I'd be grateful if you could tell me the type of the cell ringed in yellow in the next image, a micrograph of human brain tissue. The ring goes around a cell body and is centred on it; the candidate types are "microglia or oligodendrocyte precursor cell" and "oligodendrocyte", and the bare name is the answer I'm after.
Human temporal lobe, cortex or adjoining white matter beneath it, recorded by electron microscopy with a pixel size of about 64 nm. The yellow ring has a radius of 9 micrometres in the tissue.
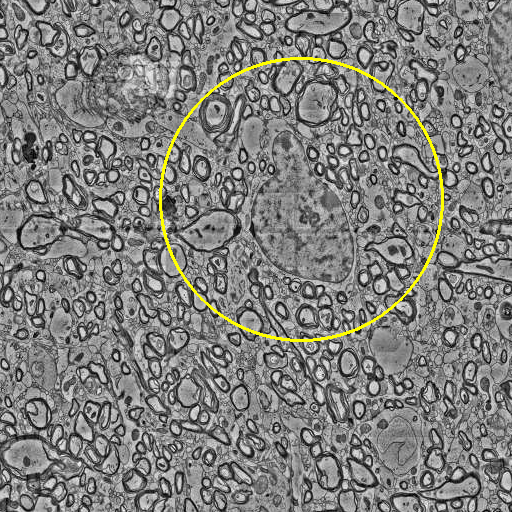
microglia or oligodendrocyte precursor cell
